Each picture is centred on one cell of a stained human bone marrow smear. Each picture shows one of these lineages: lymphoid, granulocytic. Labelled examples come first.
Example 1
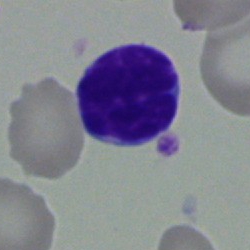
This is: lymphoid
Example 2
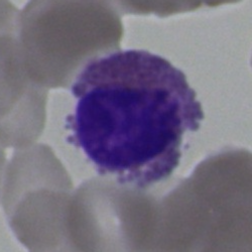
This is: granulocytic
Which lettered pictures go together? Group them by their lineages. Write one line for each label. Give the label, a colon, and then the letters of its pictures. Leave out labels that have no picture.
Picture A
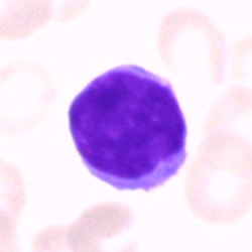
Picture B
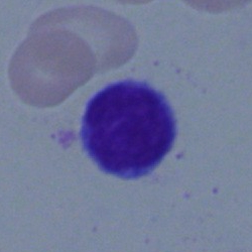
lymphoid: A, B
